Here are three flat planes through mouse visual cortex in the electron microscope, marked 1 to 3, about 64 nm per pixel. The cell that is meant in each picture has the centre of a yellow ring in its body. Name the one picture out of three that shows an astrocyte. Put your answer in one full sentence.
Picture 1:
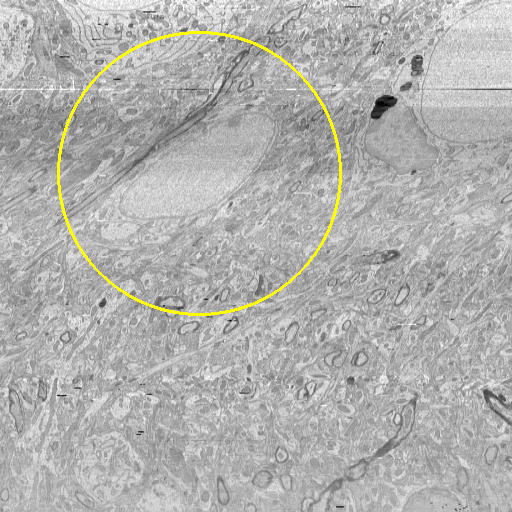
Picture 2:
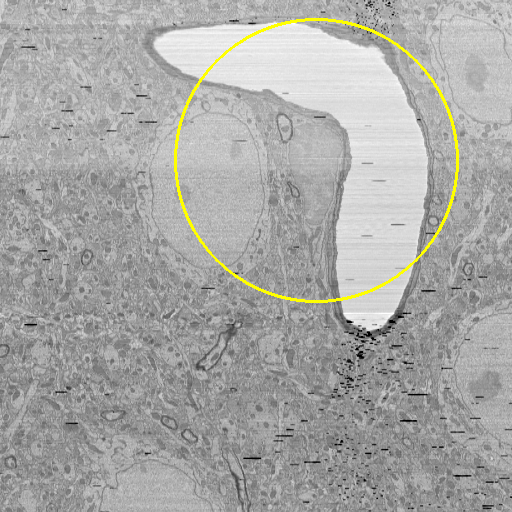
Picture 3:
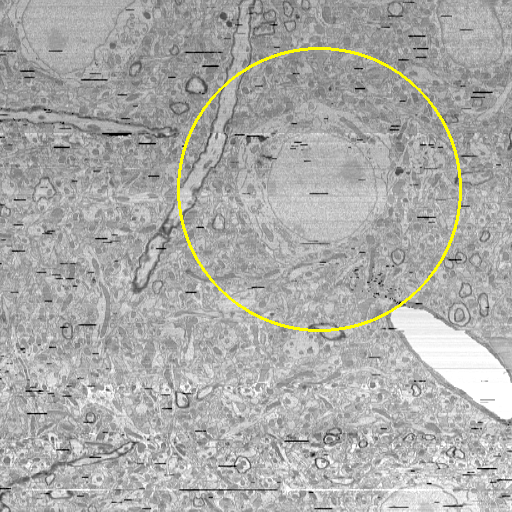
It is picture 1 that shows the astrocyte.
